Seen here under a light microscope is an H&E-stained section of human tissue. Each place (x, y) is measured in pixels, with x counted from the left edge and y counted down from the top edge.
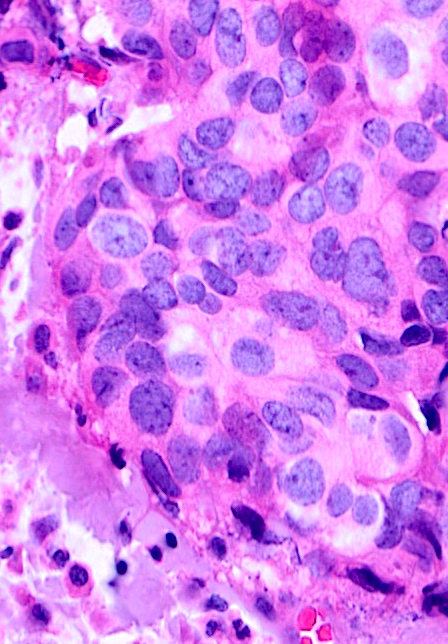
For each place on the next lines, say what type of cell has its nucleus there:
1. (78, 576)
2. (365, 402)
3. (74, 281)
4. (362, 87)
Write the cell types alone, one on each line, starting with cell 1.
mast cell
carcinoma cell
carcinoma cell
carcinoma cell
